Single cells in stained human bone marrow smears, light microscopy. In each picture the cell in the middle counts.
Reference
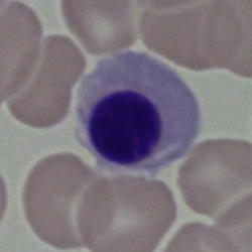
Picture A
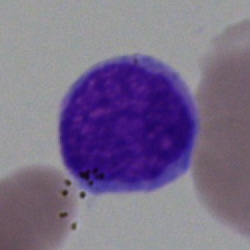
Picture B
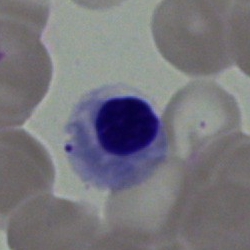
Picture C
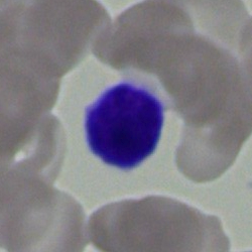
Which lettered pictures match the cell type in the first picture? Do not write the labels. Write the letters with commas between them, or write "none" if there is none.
B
